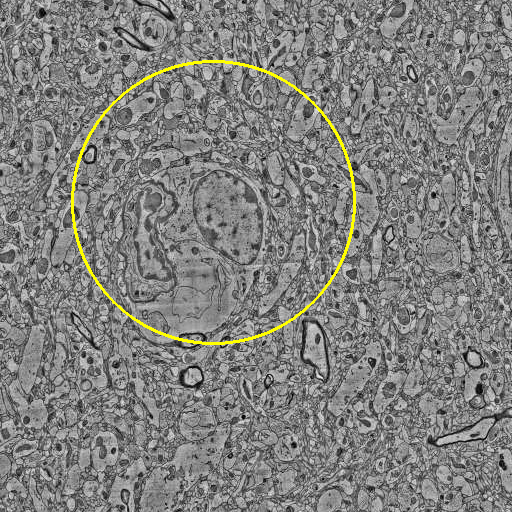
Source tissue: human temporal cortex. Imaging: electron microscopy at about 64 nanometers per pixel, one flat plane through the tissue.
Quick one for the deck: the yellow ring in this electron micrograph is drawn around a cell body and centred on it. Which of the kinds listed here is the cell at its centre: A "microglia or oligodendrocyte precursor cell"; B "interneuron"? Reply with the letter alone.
A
